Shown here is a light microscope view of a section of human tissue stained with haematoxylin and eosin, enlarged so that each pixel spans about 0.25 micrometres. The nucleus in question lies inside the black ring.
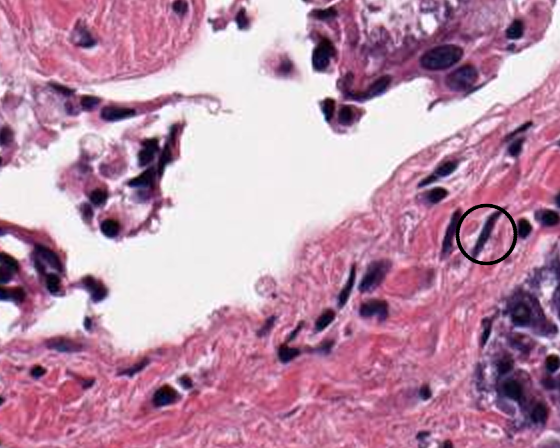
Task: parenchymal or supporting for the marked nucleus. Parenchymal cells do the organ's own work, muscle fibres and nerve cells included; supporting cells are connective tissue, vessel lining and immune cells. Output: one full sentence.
A supporting cell is the cell whose nucleus is marked.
